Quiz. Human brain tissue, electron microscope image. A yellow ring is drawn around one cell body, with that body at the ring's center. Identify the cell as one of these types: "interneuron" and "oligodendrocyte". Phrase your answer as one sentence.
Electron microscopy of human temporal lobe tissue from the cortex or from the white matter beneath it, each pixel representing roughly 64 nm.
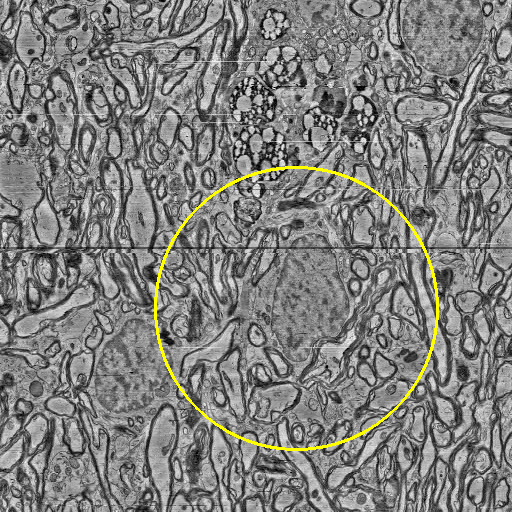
At the center of the ring sits an oligodendrocyte.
